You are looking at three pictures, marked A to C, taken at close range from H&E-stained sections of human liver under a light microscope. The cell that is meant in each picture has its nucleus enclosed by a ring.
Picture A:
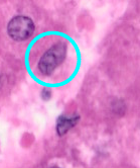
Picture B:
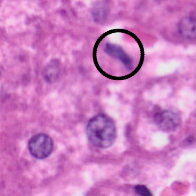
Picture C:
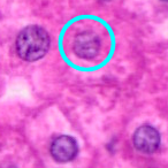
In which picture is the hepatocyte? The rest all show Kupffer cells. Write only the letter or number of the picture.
C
